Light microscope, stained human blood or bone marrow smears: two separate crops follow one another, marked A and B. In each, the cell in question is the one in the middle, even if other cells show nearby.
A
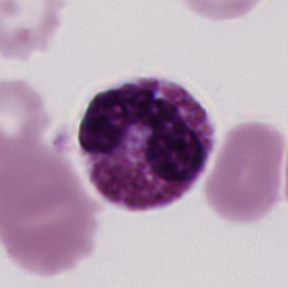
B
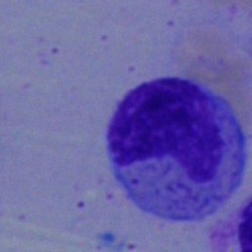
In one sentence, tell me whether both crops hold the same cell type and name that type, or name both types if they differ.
No, in crop A the cell is an eosinophil, and in crop B it is a metamyelocyte.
